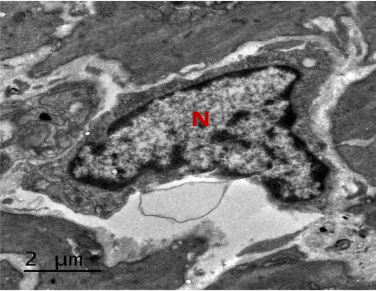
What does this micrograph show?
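This shows a single cell lying between grey muscle cells, dominated by a large, irregularly shaped nucleus. The nucleus has finely granular chromatin, with darker heterochromatin condensed as a thin band along the nuclear envelope and a few small clumps inside. A thin layer of cytoplasm surrounds the nucleus and extends into short projections. Next to the cell lies a pale, open space with a thin wavy membrane inside it.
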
